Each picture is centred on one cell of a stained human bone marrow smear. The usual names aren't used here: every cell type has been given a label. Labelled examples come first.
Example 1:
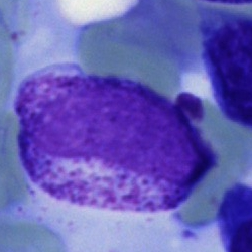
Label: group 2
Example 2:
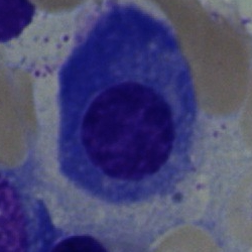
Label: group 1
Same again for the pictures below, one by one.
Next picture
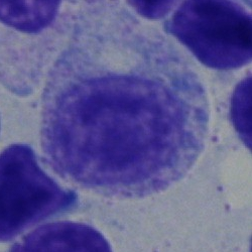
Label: group 2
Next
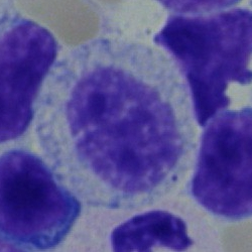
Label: group 2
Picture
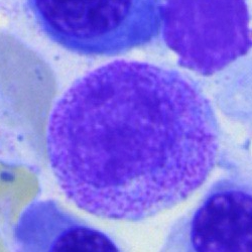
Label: group 2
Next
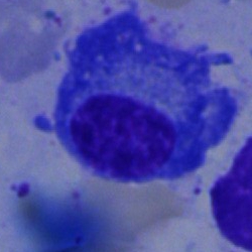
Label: group 1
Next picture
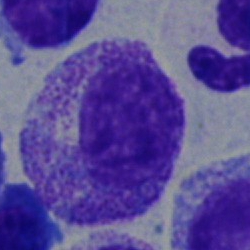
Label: group 2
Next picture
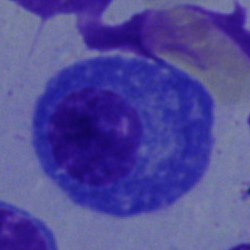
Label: group 1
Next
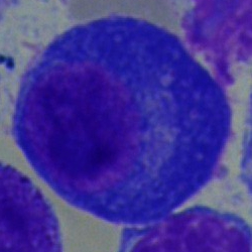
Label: group 1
